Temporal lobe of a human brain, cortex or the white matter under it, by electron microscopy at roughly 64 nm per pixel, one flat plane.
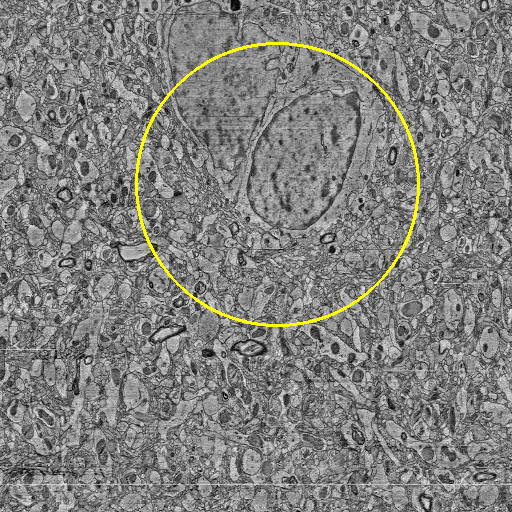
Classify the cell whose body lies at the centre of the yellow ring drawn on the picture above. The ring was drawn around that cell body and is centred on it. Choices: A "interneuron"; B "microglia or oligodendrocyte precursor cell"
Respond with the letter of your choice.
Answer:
B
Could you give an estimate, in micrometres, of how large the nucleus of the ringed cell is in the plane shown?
The nucleus measures about 10 by 6 micrometres, so it is clearly longer than it is wide in this plane.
